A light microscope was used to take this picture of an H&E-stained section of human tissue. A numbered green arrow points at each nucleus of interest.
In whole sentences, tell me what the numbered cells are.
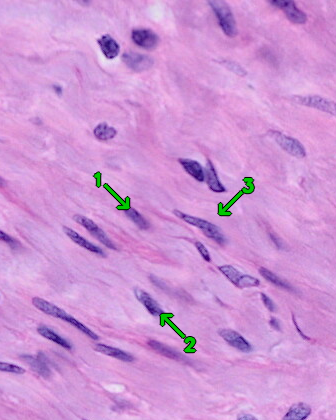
Cell 1 is a smooth muscle cell. Cells 2 and 3 are fibroblasts.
